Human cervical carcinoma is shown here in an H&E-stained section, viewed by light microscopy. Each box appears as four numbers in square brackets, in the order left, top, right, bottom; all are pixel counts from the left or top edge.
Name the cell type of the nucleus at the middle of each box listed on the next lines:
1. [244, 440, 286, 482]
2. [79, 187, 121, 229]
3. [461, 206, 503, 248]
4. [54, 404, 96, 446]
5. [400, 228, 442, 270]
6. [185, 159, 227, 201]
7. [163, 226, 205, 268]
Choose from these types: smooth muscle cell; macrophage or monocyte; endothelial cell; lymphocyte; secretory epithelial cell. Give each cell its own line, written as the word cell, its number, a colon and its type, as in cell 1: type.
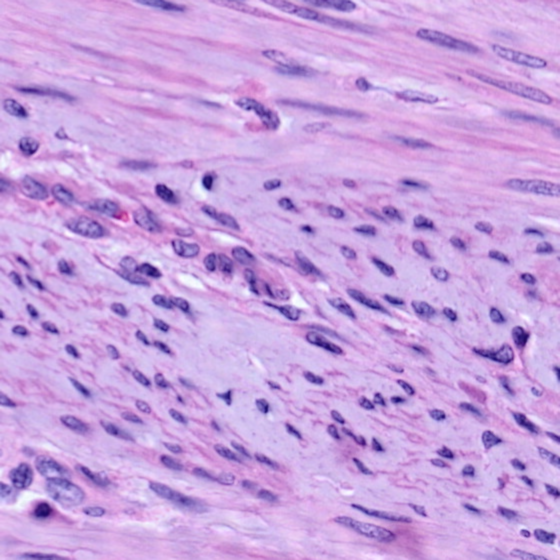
cell 1: smooth muscle cell
cell 2: endothelial cell
cell 3: smooth muscle cell
cell 4: smooth muscle cell
cell 5: smooth muscle cell
cell 6: lymphocyte
cell 7: endothelial cell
